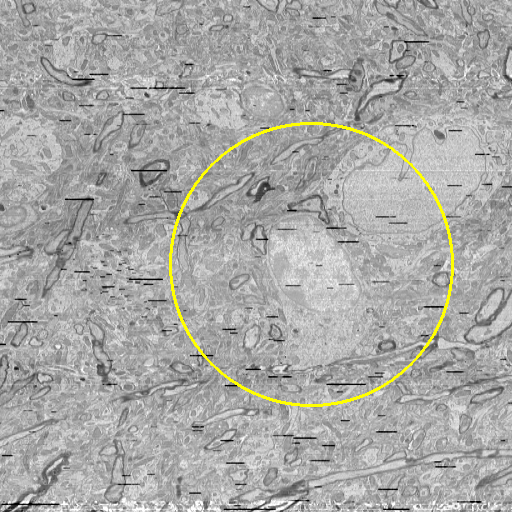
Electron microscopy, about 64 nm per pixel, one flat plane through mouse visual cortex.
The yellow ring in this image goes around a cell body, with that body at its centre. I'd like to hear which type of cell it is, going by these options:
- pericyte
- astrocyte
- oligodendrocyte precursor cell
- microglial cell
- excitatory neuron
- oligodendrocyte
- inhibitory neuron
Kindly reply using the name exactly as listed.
oligodendrocyte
